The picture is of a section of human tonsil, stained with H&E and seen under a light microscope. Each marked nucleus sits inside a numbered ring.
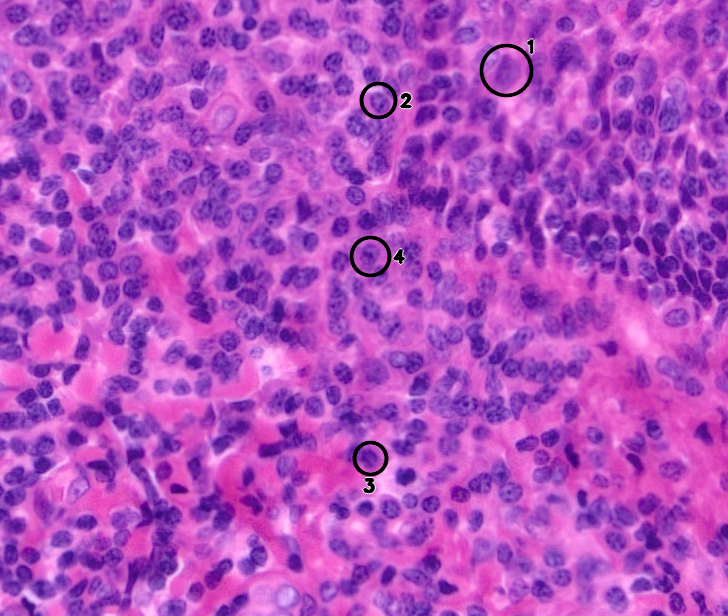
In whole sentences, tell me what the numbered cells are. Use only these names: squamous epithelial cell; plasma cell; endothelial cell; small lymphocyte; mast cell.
Cell 1 is a squamous epithelial cell, cell 2 is a plasma cell, cell 3 is a plasma cell and cell 4 is a plasma cell.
